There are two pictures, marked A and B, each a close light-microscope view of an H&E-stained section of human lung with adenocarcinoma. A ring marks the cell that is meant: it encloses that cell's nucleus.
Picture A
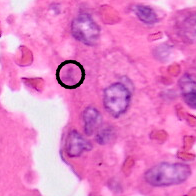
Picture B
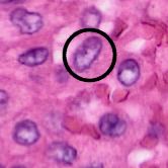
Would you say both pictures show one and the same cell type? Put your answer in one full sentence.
Yes, both are “macrophages or monocytes”.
